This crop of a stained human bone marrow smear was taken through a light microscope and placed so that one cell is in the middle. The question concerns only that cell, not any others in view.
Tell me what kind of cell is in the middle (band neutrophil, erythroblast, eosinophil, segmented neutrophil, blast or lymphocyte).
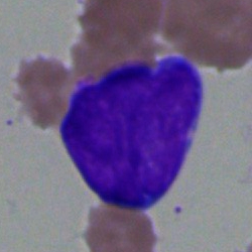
blast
